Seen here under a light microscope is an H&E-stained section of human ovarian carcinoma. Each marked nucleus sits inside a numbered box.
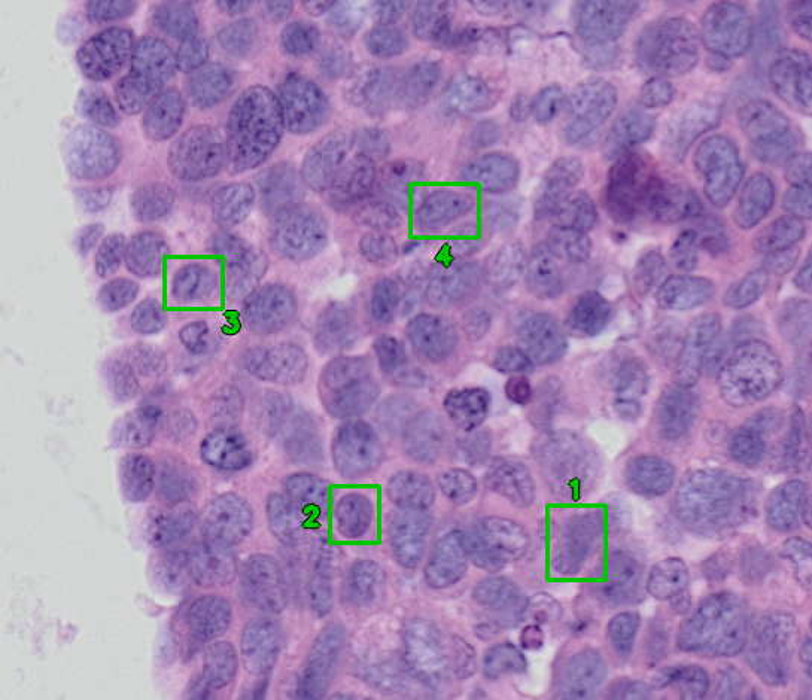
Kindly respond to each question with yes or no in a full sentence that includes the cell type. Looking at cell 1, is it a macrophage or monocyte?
No, cell 1 is not a macrophage or monocyte; it is a carcinoma cell.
